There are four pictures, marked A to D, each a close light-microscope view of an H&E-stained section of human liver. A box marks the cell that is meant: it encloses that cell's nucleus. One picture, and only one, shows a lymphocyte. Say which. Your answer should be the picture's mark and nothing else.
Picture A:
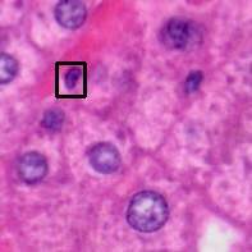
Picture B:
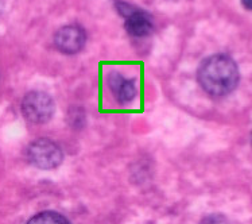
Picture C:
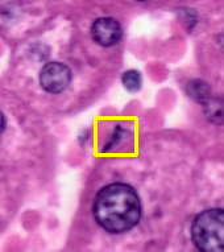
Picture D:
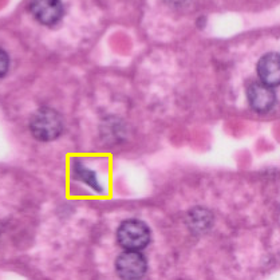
A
